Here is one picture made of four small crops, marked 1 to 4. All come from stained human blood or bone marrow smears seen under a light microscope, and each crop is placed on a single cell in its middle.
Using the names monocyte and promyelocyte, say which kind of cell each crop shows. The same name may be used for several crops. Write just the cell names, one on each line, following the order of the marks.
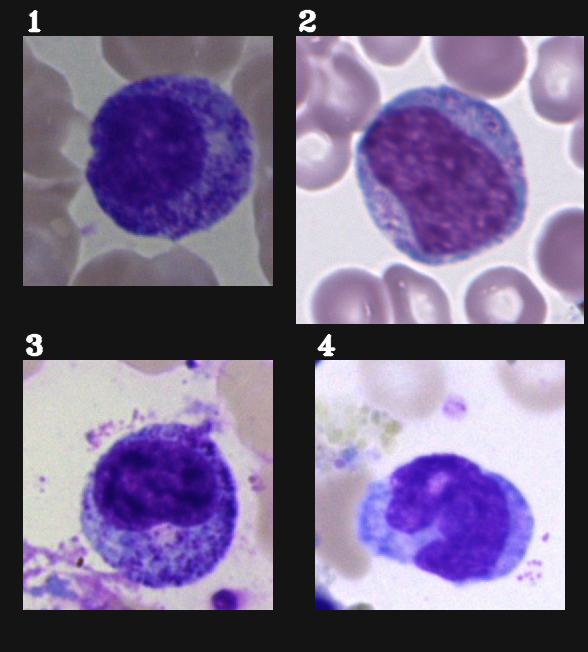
promyelocyte
promyelocyte
promyelocyte
monocyte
